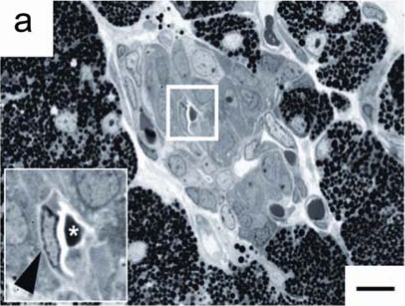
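This is a pancreatic islet, the pale cluster of cells in the middle, set among exocrine tissue whose cells are packed with dark, round granules. The islet cells have light cytoplasm and round nuclei, and they sit close together with only thin pale strands between groups. Here and there small clear spaces open among them; these are blood vessels. Pale connective tissue threads surround the islet and separate it from the darkly granular gland around it.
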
